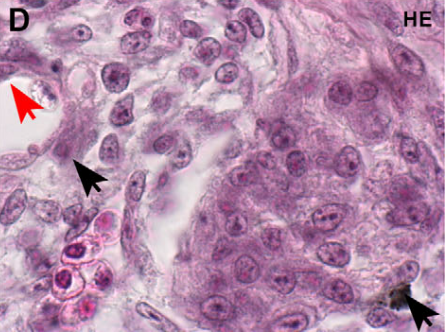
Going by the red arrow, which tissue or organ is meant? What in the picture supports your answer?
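The red arrow points to the thin wall of an open lumen at upper left. The wall is a thin flattened layer of cells.
Hence: endothelium.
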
